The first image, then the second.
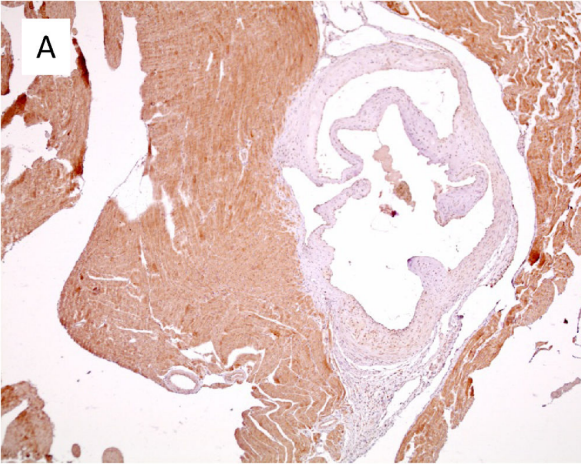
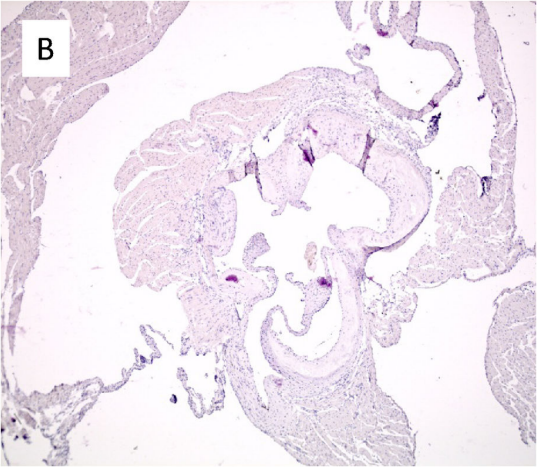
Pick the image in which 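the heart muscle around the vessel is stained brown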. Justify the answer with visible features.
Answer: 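Second image: the whole section is pale purple, with no brown colour in the muscle or vessel wall. First image: the muscle around the vessel root is strongly brown, the vessel wall paler brown. The answer: the first image.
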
